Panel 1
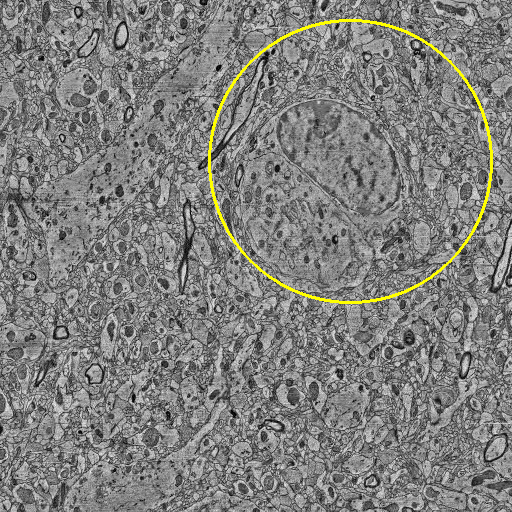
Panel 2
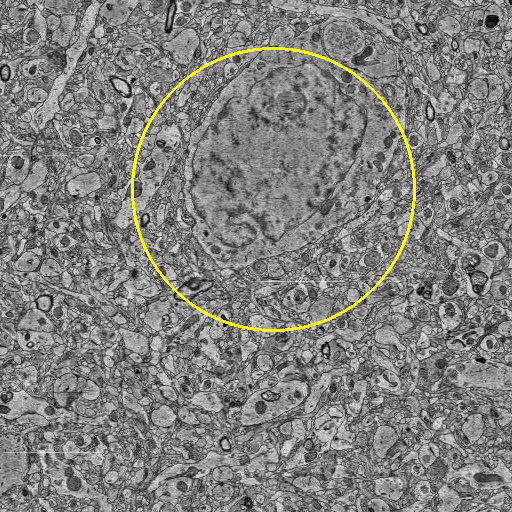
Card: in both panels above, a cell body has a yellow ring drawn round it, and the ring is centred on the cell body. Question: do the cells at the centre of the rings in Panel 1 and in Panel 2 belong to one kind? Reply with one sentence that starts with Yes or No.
No, the cells centred in the rings of Panel 1 and Panel 2 are two kinds of cell.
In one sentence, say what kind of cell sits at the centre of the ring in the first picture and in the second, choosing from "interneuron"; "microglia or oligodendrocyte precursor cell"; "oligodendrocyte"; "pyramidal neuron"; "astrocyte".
The first picture's ringed cell is a microglial cell or oligodendrocyte precursor cell, while the second picture's is an interneuron.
